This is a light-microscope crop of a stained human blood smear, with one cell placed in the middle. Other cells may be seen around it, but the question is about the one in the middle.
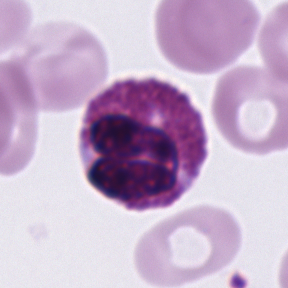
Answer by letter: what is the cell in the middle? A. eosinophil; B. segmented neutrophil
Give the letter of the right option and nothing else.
A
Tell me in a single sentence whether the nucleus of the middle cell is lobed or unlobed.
The nucleus is divided into two or more distinct lobes.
